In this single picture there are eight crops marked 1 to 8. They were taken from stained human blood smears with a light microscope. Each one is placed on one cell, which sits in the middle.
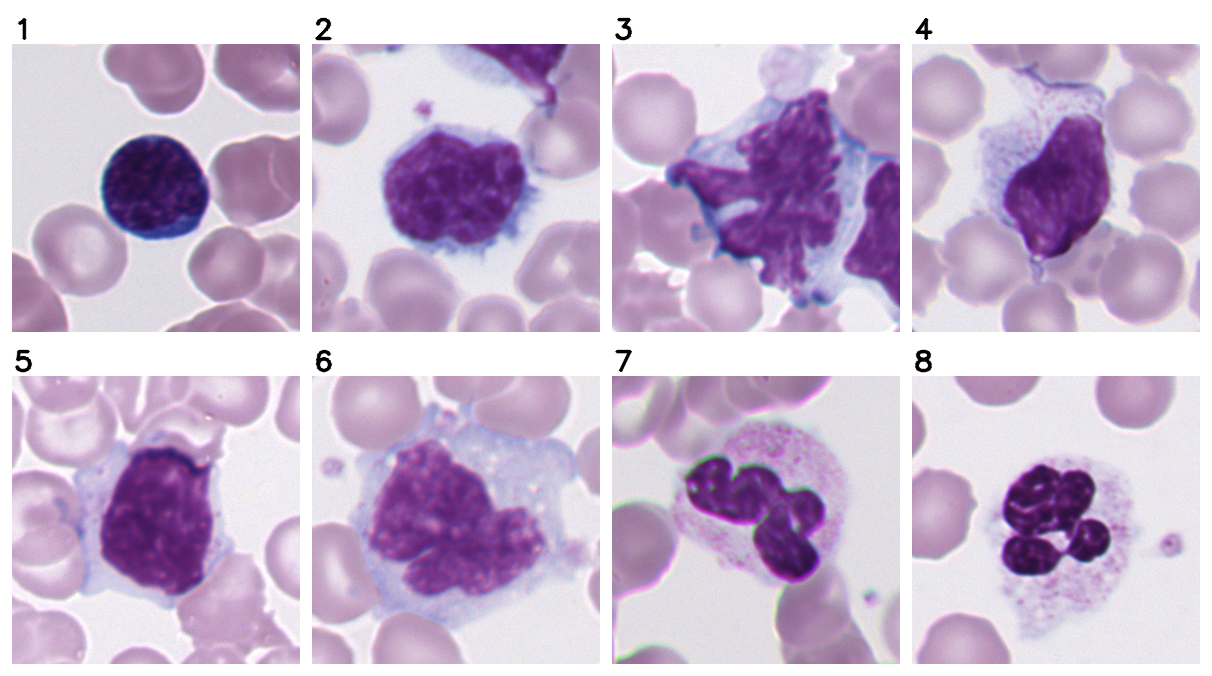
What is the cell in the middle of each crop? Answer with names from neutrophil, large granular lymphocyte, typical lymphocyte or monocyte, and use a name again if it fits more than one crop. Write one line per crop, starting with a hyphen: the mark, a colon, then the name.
- 1: typical lymphocyte
- 2: typical lymphocyte
- 3: monocyte
- 4: large granular lymphocyte
- 5: large granular lymphocyte
- 6: monocyte
- 7: neutrophil
- 8: neutrophil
